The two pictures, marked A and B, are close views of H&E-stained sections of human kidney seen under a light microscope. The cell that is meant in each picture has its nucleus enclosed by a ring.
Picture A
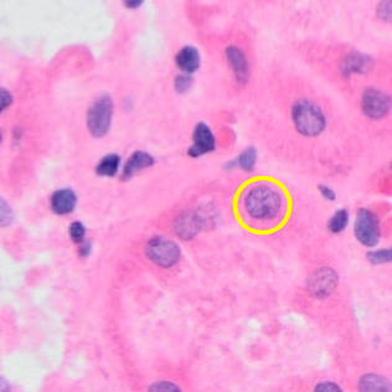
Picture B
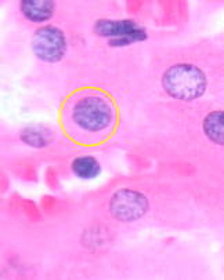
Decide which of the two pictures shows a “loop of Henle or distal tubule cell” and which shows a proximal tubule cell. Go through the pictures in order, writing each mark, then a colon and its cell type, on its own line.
A: proximal tubule cell
B: loop of Henle or distal tubule cell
